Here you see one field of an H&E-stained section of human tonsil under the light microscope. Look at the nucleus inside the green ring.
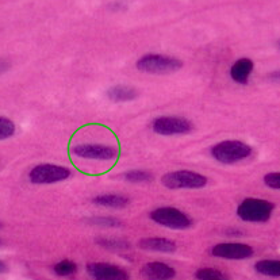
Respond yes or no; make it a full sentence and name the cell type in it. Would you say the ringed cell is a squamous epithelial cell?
Yes, the ringed cell is identified as a squamous epithelial cell in this section.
